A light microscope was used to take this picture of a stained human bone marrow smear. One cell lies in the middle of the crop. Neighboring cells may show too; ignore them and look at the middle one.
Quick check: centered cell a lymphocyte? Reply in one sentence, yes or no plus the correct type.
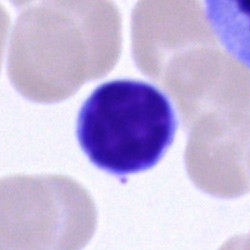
Yes, that middle cell in the crop is a lymphocyte.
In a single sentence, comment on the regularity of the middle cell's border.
The edge of the cell is unbroken and smooth, bearing no projections.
